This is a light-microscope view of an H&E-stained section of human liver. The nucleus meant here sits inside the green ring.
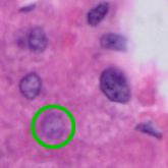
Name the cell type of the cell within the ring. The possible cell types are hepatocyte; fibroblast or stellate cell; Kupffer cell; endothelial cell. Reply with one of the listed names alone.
hepatocyte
